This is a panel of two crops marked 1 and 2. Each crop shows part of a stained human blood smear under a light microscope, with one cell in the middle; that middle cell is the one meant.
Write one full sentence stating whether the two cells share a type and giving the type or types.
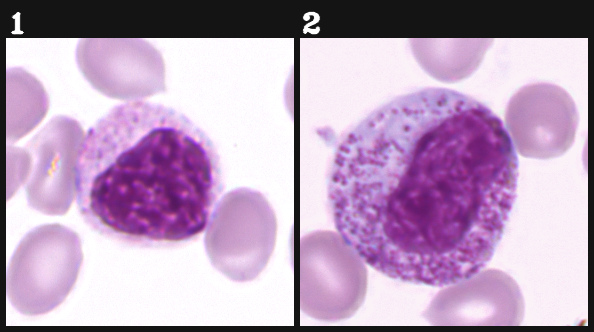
Yes, the cells of interest in both crops are metamyelocytes.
